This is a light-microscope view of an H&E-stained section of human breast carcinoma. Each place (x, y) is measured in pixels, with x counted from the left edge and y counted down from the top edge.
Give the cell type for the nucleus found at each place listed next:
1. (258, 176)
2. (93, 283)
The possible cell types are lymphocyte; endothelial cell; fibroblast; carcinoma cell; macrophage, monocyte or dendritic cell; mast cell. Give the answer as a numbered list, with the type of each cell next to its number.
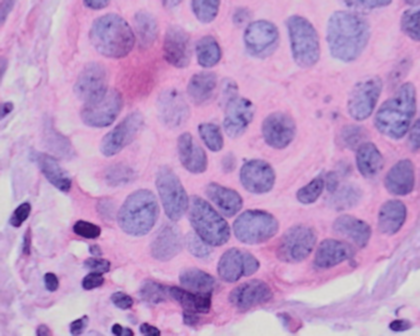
1. carcinoma cell
2. lymphocyte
